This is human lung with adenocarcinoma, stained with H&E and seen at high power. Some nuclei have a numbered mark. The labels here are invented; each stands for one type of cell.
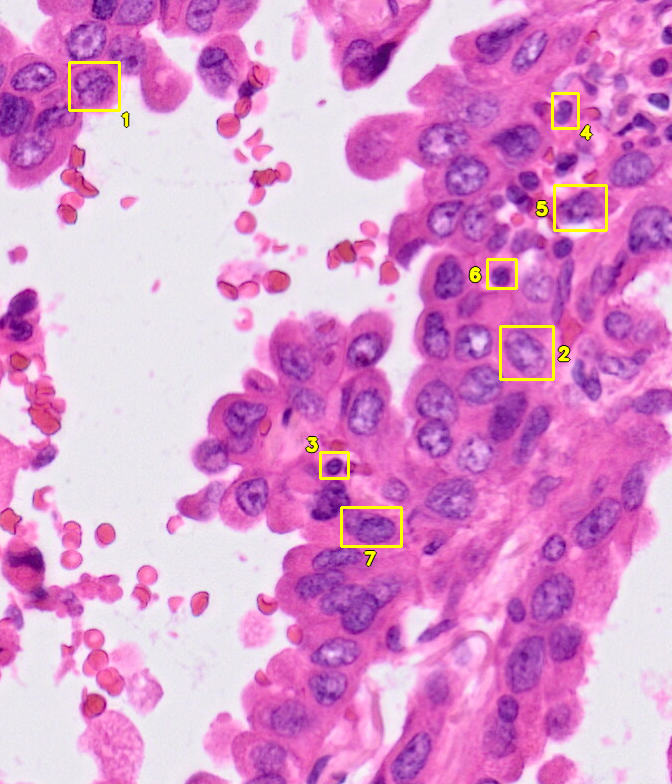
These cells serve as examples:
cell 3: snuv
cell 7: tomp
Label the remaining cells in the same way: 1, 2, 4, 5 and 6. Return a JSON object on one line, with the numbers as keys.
{"1": "tomp", "2": "tomp", "4": "snuv", "5": "tomp", "6": "snuv"}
